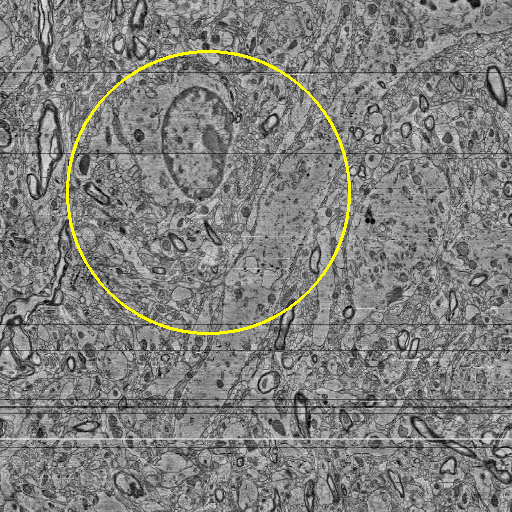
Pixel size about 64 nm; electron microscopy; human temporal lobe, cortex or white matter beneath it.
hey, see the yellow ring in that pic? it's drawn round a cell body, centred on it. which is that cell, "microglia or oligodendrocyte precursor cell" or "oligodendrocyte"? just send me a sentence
The cell in the ring is a microglial cell or oligodendrocyte precursor cell.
